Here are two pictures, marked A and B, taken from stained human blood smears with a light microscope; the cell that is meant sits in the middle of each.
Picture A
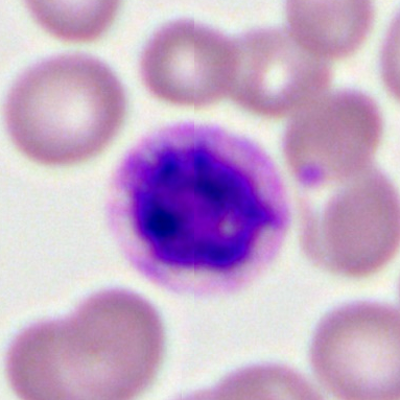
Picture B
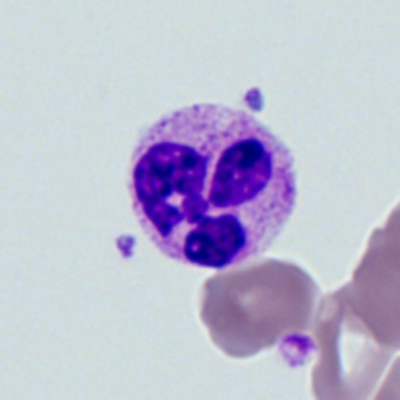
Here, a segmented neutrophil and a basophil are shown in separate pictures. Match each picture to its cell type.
A: basophil
B: segmented neutrophil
